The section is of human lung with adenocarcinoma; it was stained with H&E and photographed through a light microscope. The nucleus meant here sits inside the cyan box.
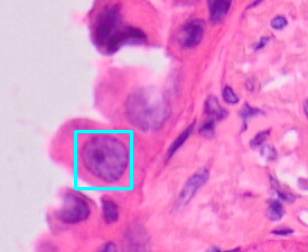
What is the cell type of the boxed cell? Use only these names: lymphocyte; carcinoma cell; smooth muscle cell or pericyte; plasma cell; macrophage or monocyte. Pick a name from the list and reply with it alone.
carcinoma cell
